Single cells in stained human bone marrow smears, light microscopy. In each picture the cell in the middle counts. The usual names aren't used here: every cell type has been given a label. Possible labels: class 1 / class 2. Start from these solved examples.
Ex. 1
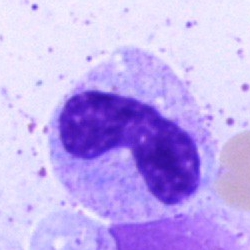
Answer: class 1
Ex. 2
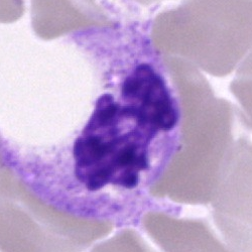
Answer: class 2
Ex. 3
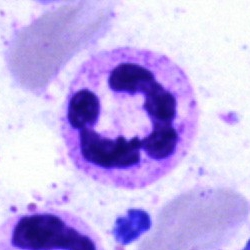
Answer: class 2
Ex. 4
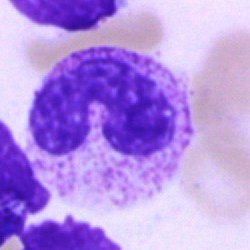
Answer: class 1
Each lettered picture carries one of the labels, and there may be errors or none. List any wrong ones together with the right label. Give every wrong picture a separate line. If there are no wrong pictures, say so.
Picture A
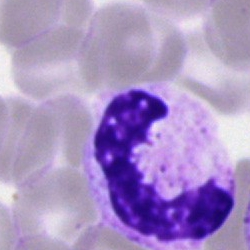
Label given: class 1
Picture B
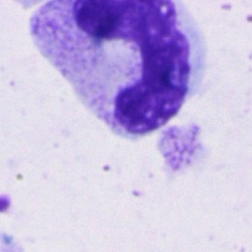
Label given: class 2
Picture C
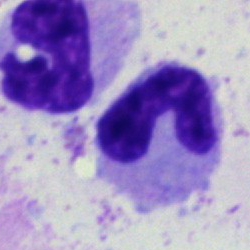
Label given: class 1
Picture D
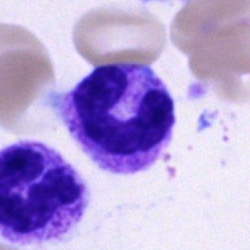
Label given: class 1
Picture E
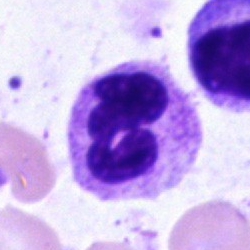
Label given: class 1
B is labelled class 2; correct label: class 1
E is labelled class 1; correct label: class 2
